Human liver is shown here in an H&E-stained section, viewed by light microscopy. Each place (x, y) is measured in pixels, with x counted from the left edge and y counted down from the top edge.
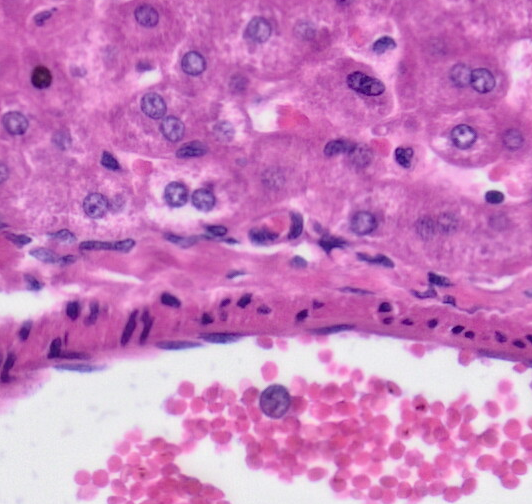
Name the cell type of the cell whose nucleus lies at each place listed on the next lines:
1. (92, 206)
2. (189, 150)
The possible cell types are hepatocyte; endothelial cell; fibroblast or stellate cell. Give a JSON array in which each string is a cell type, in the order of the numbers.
["hepatocyte", "fibroblast or stellate cell"]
